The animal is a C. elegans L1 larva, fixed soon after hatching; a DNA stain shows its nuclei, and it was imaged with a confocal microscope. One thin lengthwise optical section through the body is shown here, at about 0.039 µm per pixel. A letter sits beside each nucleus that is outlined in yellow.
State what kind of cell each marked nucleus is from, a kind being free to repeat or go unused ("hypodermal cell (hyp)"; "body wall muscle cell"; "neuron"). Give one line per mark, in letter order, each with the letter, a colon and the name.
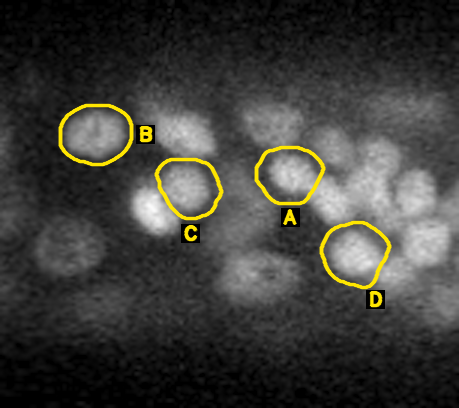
A: neuron
B: body wall muscle cell
C: neuron
D: neuron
